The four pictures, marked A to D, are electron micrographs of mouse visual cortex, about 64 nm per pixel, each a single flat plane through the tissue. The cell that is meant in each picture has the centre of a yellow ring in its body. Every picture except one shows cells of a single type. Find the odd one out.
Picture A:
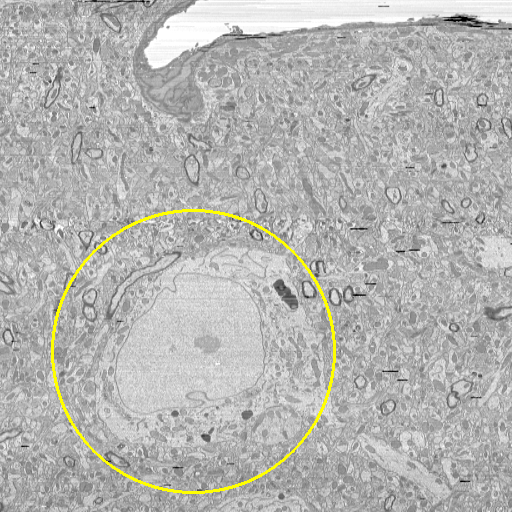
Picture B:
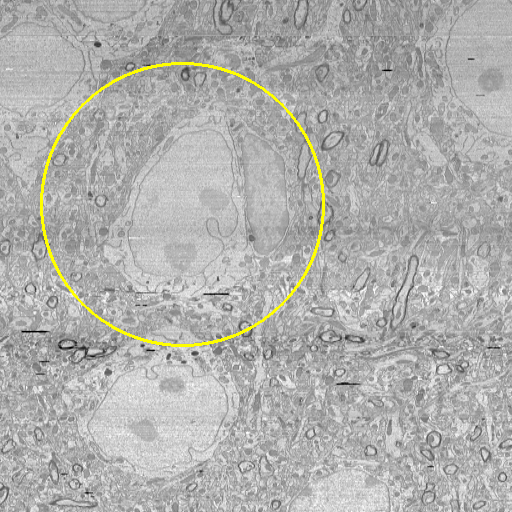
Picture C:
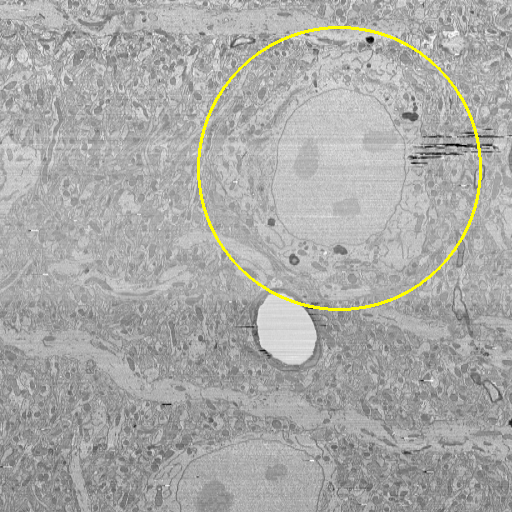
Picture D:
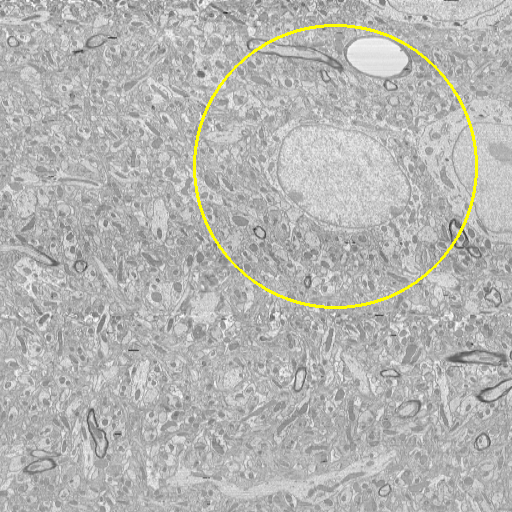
Picture D differs, because its cell is an astrocyte and the rest are excitatory neurons.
